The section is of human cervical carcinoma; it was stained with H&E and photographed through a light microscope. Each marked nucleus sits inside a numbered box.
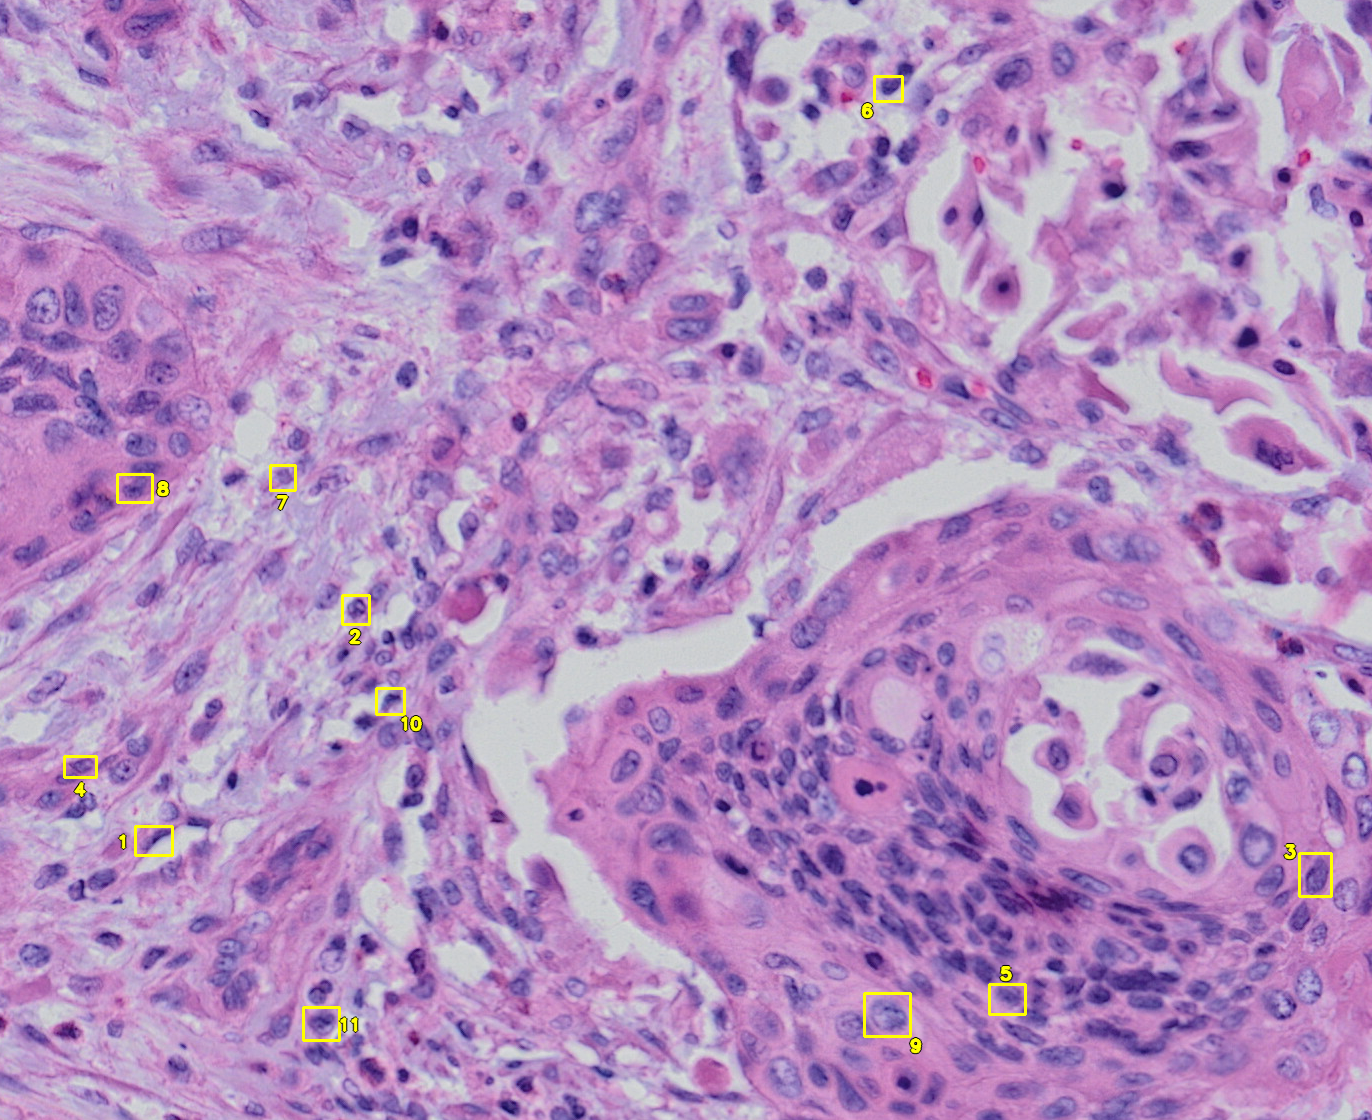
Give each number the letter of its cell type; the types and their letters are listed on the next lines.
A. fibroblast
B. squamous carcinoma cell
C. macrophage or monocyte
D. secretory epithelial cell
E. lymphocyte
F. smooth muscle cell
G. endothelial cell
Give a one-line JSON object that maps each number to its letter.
{"1": "G", "2": "E", "3": "B", "4": "G", "5": "B", "6": "E", "7": "A", "8": "B", "9": "B", "10": "E", "11": "C"}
